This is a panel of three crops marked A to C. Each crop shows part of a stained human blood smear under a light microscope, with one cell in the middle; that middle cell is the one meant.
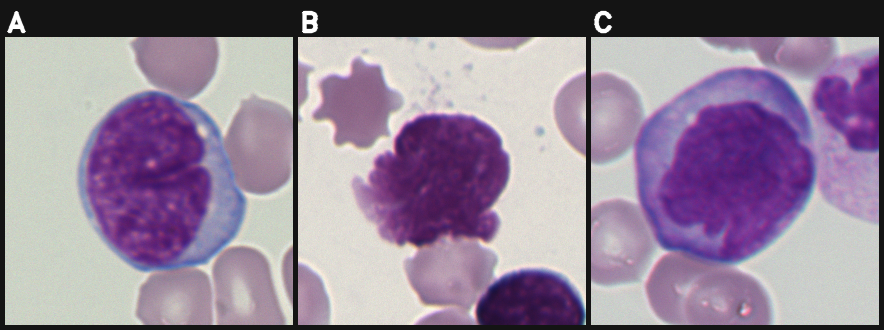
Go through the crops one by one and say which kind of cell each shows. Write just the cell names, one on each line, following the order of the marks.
myeloblast
smudge cell
atypical promyelocyte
